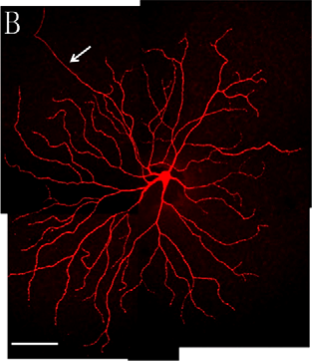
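This is a single filled ganglion cell of the alpha type, with a large cell body at the centre of a wide, radiating dendritic tree. Several thick primary dendrites branch repeatedly into thinner branches that cover the field fairly evenly in all directions. A single thin, unbranched axon leaves the cell and runs off toward the upper left.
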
